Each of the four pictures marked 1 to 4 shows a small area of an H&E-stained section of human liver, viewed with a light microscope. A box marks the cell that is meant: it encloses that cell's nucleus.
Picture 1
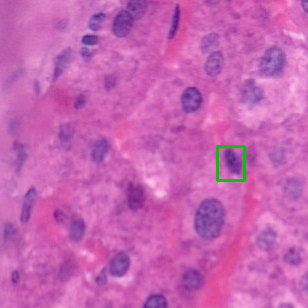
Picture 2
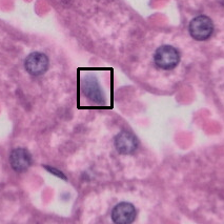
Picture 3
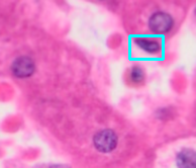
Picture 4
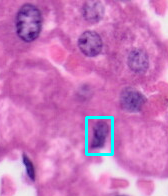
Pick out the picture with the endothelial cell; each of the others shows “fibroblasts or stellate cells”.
2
